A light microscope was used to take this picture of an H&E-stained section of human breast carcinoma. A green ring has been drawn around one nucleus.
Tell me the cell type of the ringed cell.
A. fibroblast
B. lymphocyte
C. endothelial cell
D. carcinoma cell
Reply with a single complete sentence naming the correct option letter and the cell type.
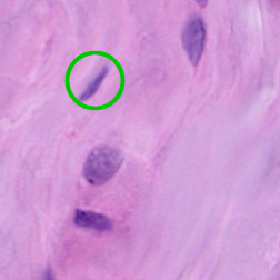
According to option A, the ringed cell is a fibroblast, and this is correct.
